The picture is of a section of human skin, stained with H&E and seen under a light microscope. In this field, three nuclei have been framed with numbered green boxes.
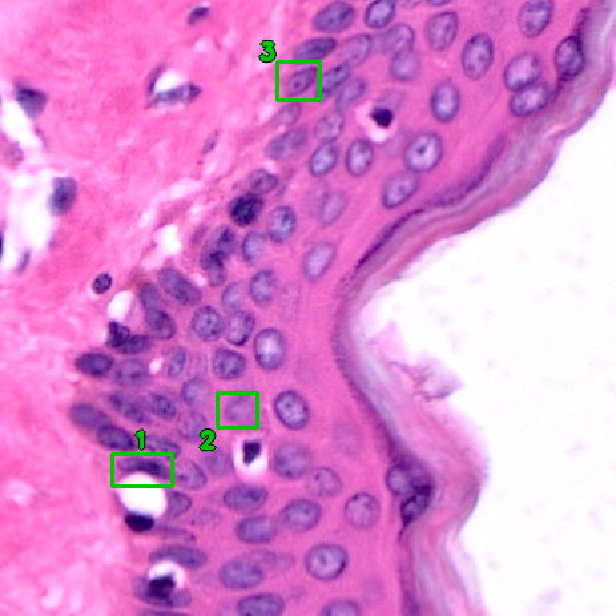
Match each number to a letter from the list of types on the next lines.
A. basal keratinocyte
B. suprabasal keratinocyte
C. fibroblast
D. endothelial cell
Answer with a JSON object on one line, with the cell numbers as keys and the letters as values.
{"1": "A", "2": "B", "3": "A"}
